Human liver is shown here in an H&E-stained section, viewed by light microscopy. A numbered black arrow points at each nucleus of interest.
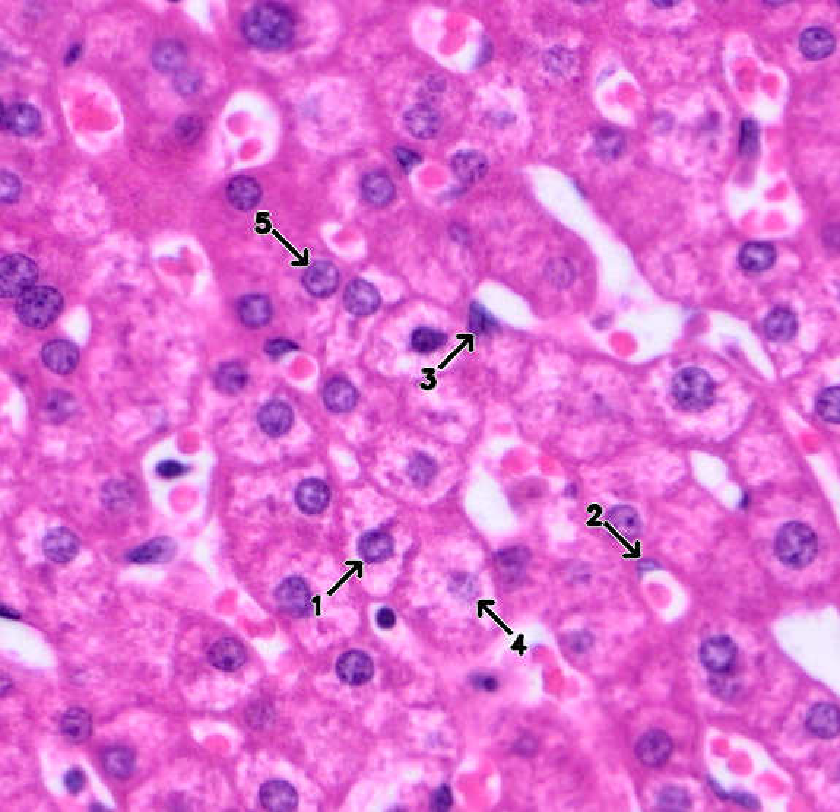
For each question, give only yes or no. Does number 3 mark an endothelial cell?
yes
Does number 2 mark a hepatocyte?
no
